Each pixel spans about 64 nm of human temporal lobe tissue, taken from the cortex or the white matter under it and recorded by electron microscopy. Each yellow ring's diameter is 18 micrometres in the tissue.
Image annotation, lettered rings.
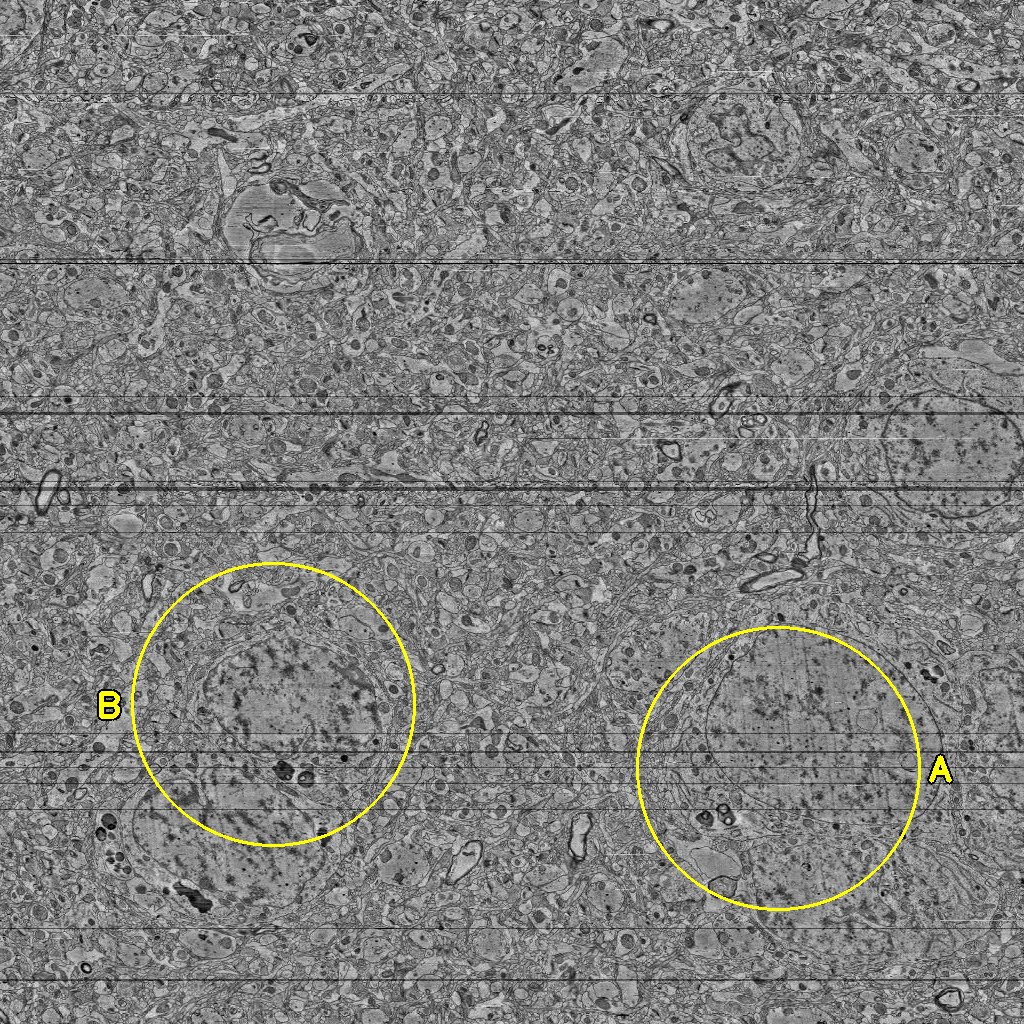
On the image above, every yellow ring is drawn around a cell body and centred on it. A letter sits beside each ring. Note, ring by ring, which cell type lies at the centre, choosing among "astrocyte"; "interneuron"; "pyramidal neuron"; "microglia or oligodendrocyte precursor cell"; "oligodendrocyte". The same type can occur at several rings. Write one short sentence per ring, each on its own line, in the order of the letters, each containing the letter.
Ring A has a pyramidal neuron at its centre.
Ring B has an interneuron at its centre.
